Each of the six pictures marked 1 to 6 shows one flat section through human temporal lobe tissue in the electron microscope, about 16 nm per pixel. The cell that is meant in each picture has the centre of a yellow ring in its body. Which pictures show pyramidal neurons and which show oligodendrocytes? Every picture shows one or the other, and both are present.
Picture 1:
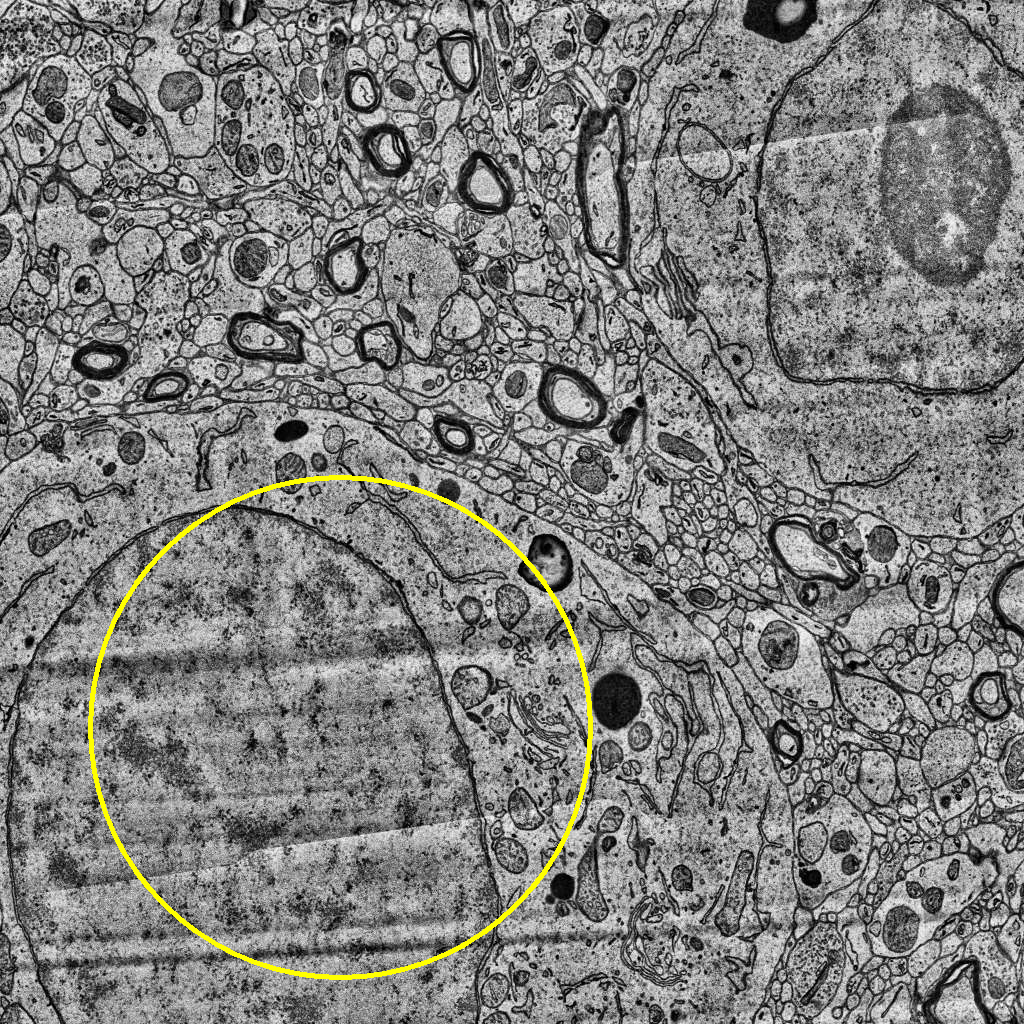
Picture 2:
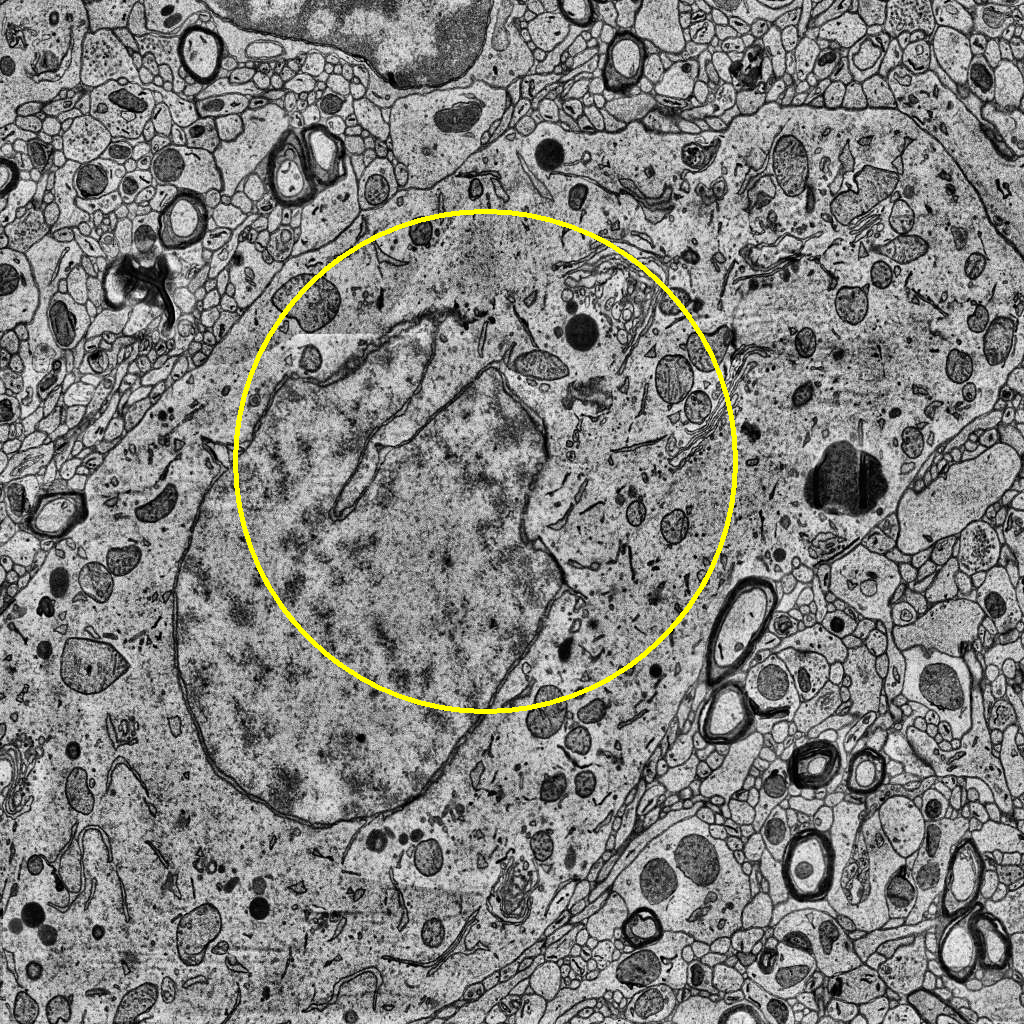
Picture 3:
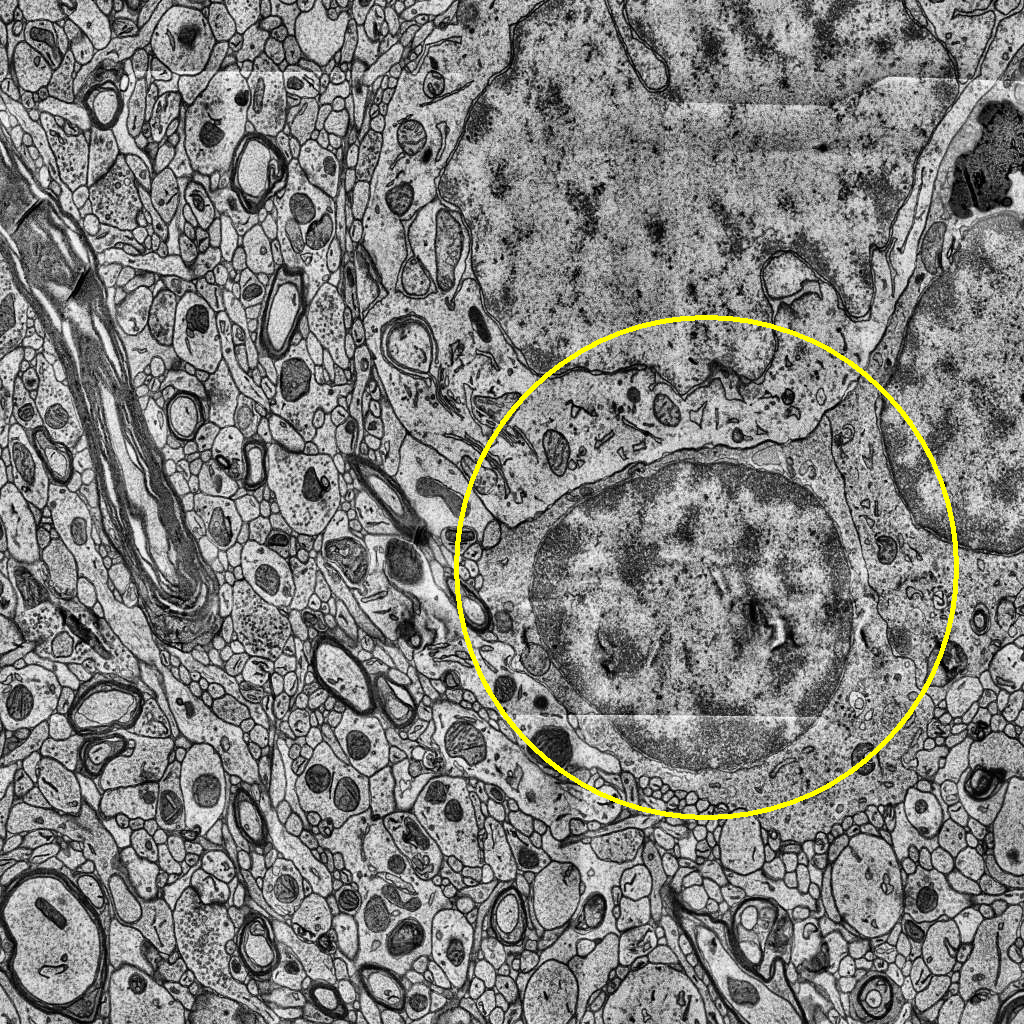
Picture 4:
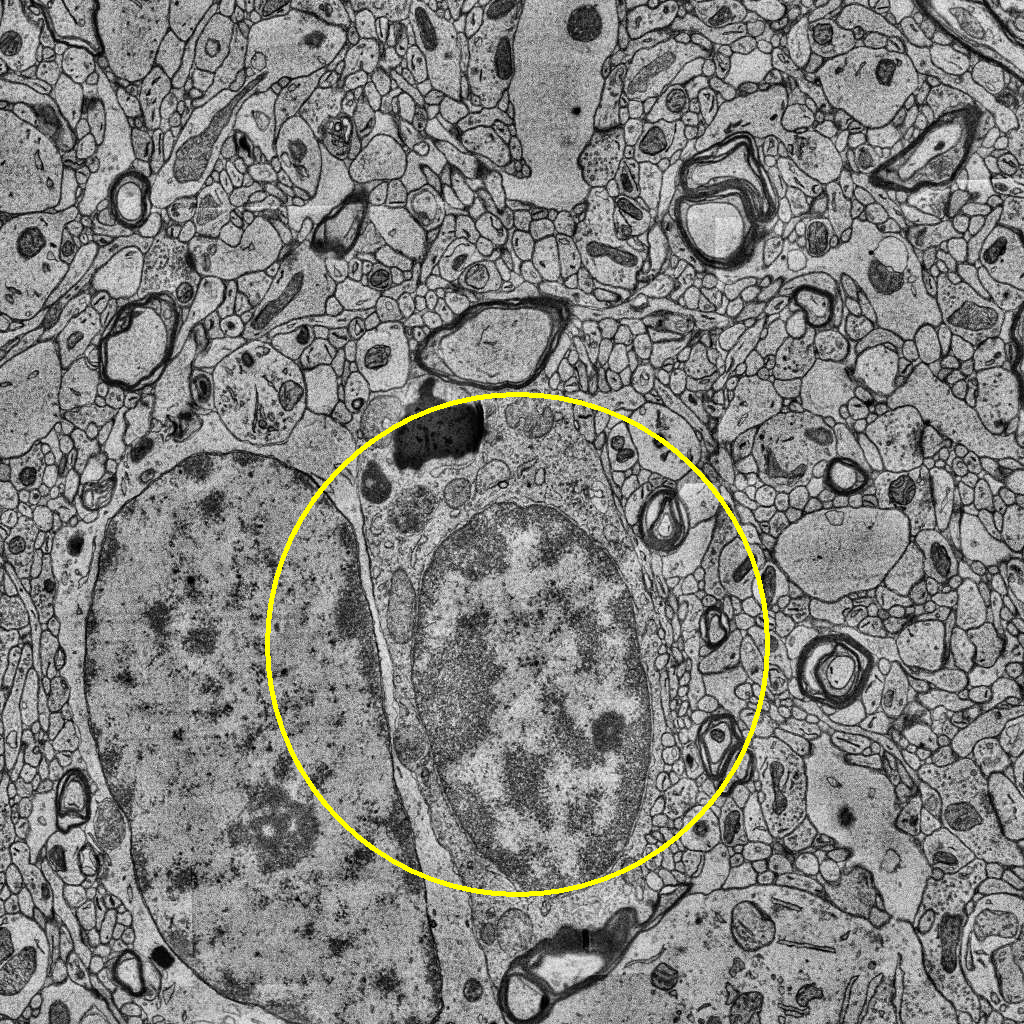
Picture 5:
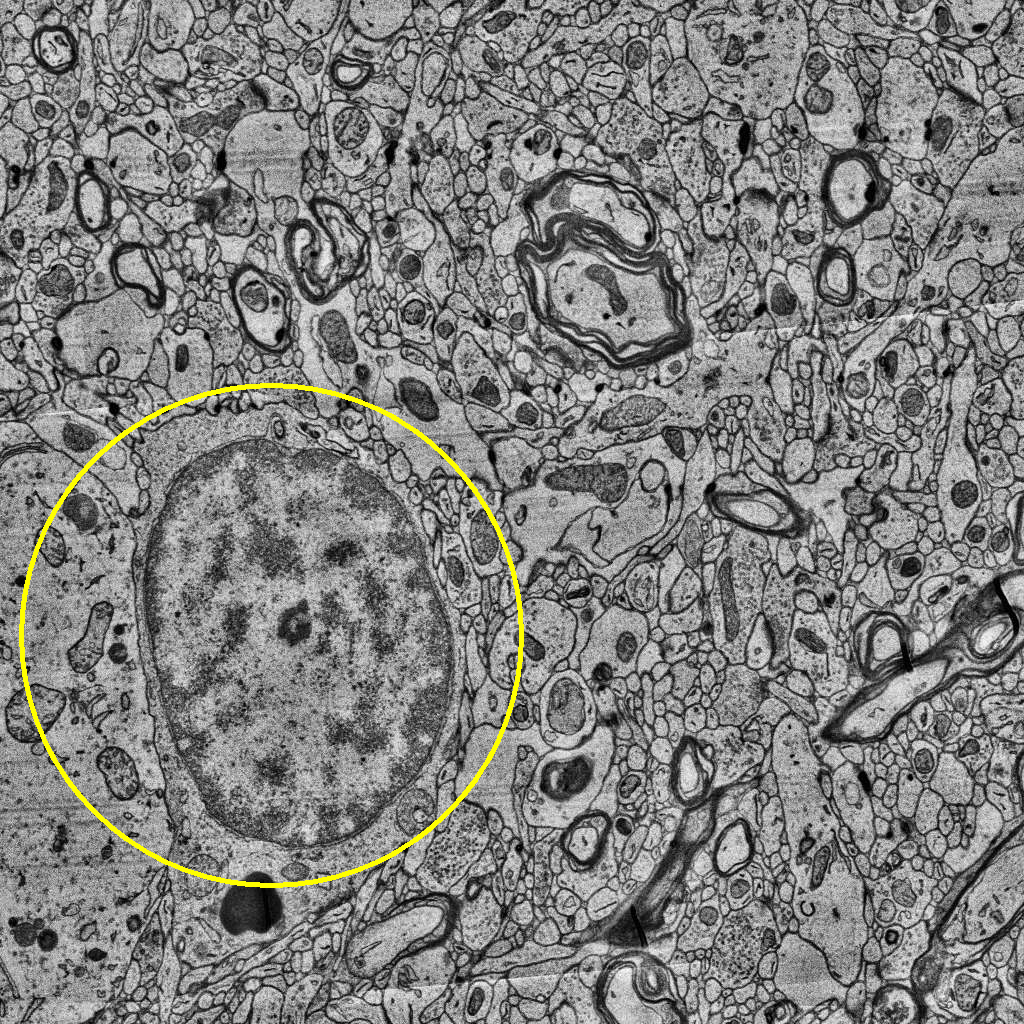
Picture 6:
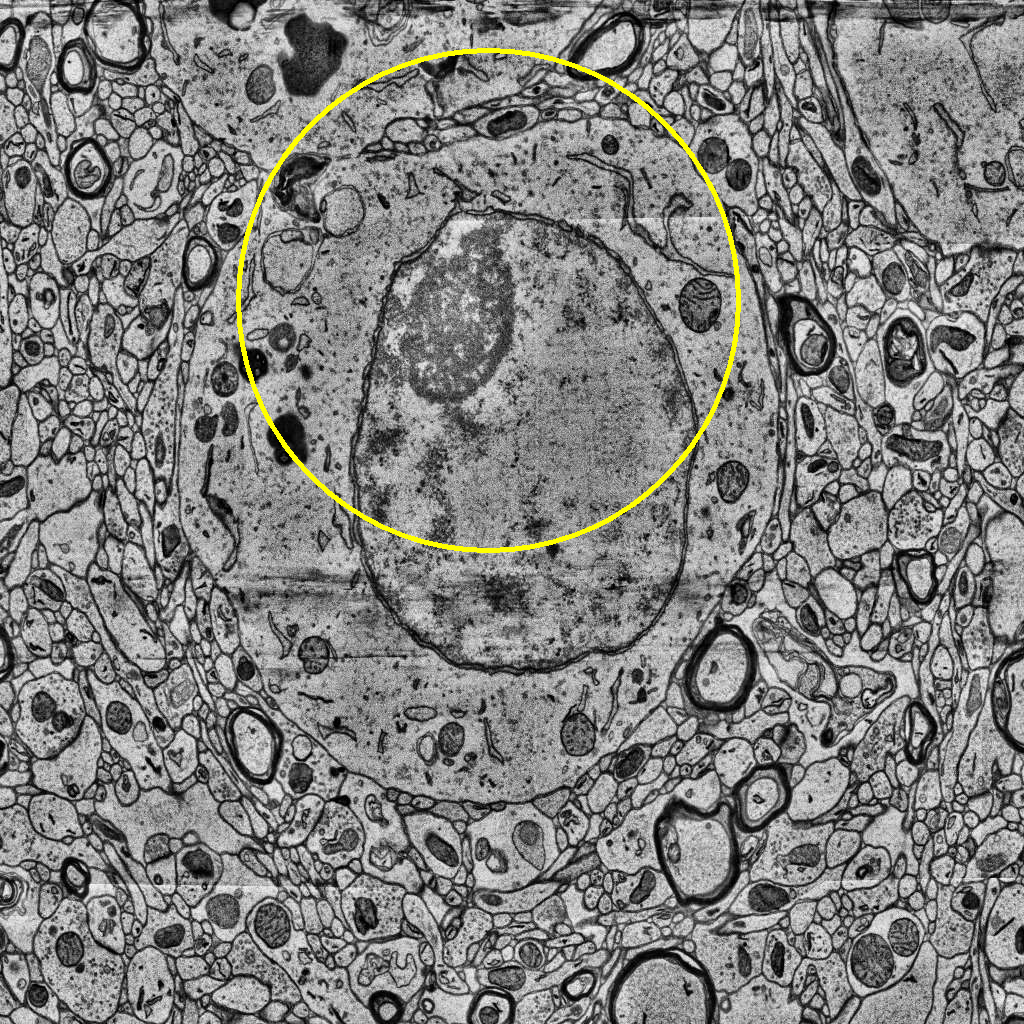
Pictures 1, 2 and 6 show pyramidal neurons; pictures 3, 4 and 5 show oligodendrocytes.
